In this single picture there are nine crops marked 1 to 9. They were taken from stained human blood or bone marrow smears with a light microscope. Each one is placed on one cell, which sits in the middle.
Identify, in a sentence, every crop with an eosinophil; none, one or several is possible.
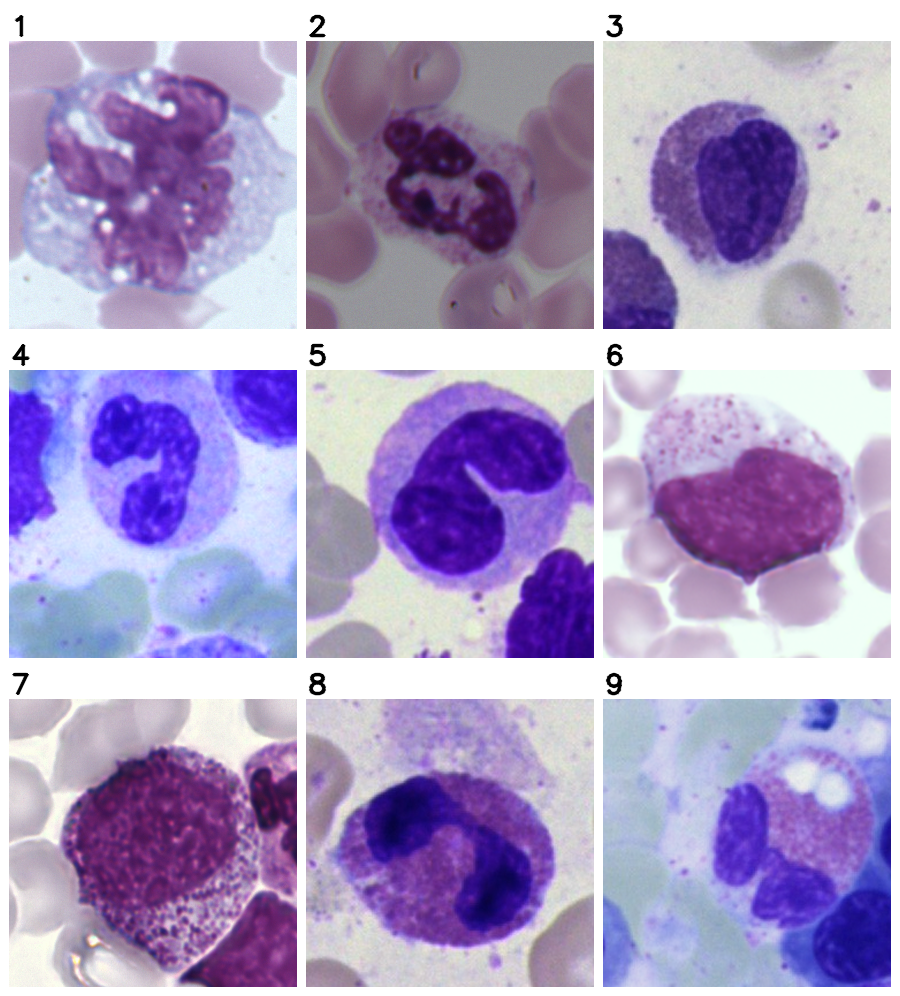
The cells sitting in the middle of crops 3, 8 and 9 are eosinophils.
